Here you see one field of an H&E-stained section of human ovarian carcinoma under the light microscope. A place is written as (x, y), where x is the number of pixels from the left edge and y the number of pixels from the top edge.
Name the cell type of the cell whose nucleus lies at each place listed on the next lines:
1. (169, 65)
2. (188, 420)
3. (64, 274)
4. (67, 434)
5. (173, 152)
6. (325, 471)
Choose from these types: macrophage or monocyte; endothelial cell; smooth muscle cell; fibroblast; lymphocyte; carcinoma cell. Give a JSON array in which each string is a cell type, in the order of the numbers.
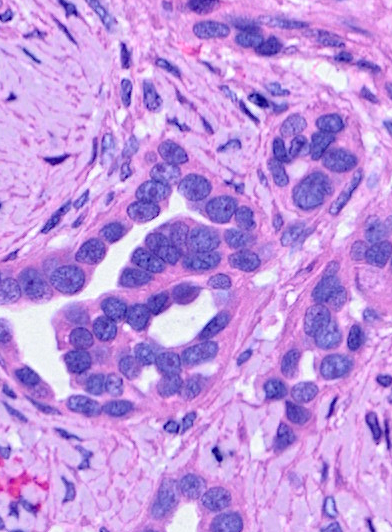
["fibroblast", "fibroblast", "carcinoma cell", "fibroblast", "carcinoma cell", "fibroblast"]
